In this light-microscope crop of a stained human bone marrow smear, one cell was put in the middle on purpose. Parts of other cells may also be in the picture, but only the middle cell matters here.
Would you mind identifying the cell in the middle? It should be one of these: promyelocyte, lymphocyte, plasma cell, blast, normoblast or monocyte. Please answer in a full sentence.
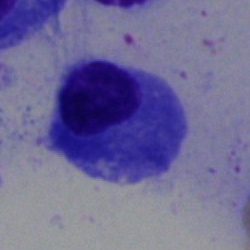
Centred in the crop is a plasma cell.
